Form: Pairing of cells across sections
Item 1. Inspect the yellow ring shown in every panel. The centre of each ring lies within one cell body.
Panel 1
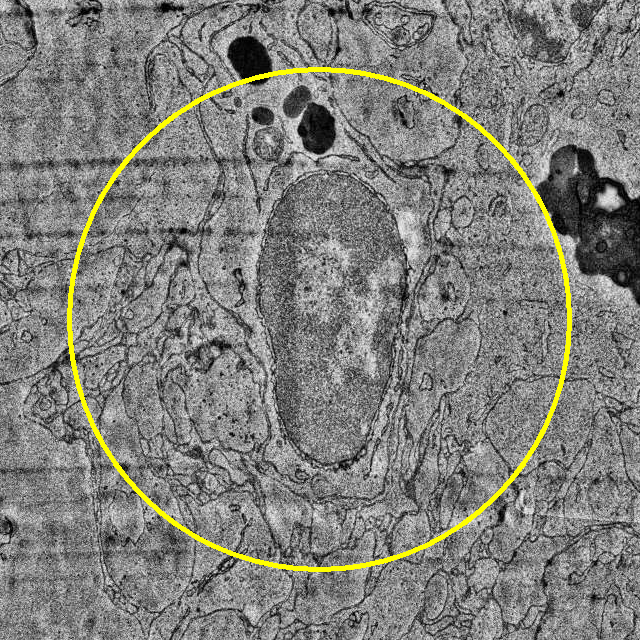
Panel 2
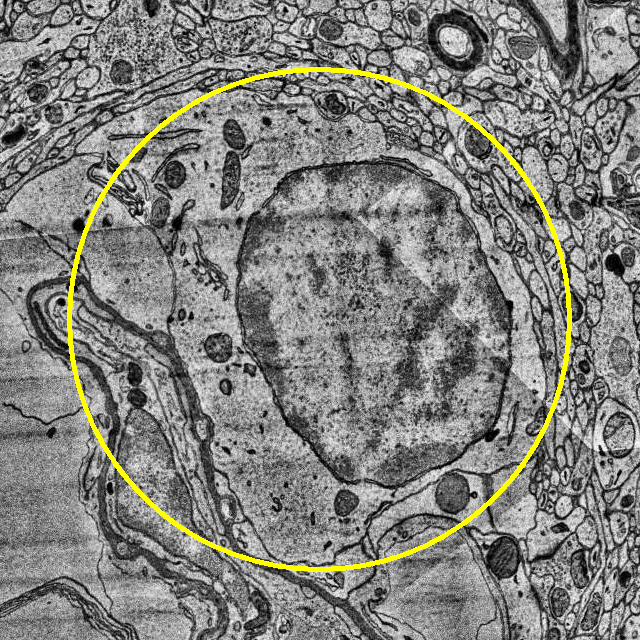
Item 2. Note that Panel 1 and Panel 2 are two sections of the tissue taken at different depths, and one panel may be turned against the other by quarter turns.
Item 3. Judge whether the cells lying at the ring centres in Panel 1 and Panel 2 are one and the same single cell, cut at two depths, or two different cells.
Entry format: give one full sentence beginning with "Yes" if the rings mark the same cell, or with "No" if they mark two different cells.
No, the two yellow rings each circle a different cell.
